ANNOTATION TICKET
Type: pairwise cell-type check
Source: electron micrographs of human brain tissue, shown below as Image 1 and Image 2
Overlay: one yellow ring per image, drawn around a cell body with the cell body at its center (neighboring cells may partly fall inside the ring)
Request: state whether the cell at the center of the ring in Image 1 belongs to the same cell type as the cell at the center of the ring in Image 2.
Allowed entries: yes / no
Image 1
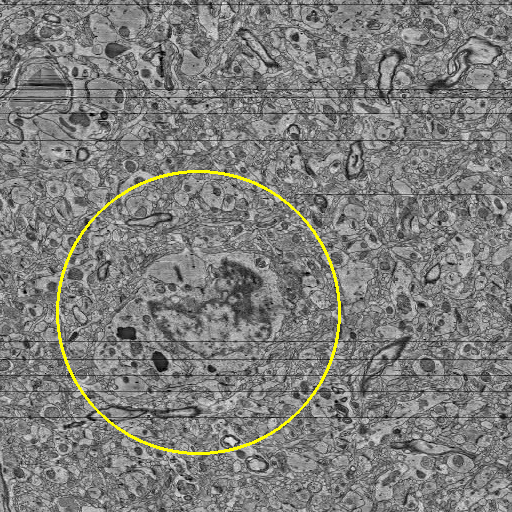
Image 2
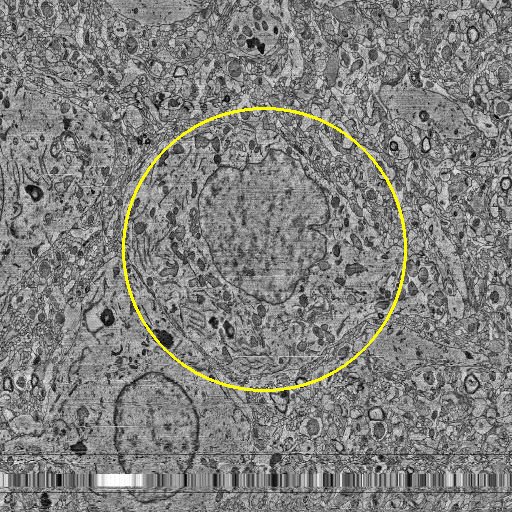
yes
